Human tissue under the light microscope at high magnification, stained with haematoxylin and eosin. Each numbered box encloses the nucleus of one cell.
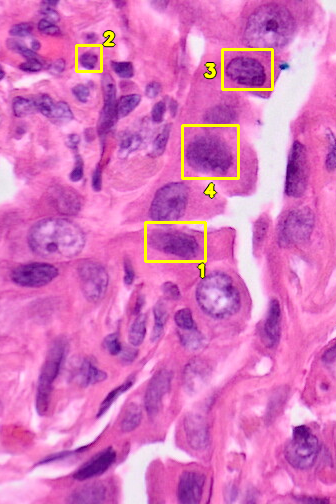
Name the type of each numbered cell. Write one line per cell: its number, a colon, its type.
1: carcinoma cell
2: lymphocyte
3: carcinoma cell
4: carcinoma cell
